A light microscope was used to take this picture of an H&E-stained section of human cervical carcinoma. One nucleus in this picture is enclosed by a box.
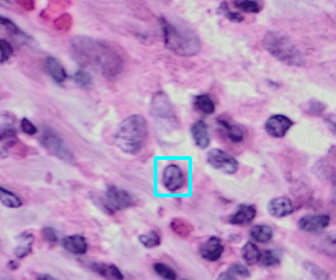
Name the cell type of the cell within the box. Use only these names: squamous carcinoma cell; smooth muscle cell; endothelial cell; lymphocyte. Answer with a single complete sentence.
In the context of this tissue, the cell within the box is a lymphocyte.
